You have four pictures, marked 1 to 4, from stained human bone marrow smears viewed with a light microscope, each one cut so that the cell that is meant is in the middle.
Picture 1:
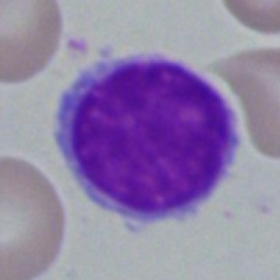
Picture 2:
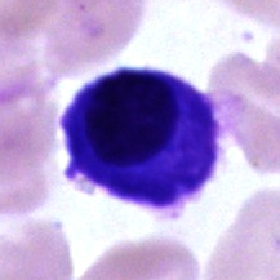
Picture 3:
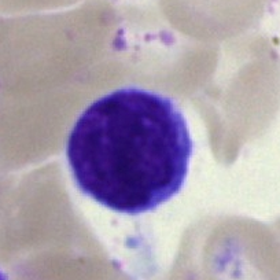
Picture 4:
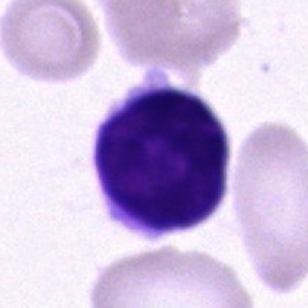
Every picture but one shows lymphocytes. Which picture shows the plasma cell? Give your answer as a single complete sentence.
The picture with the plasma cell is 2.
